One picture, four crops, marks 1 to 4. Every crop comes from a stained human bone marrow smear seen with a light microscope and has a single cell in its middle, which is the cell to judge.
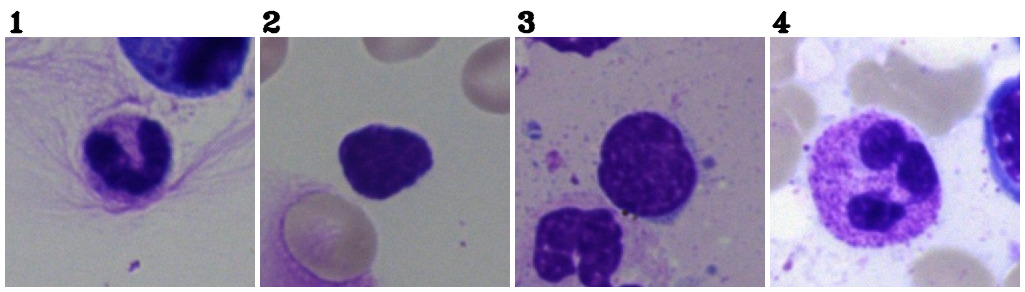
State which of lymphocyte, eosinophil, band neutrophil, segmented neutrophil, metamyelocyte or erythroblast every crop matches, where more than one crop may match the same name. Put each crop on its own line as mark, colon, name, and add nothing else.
1: segmented neutrophil
2: lymphocyte
3: lymphocyte
4: segmented neutrophil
